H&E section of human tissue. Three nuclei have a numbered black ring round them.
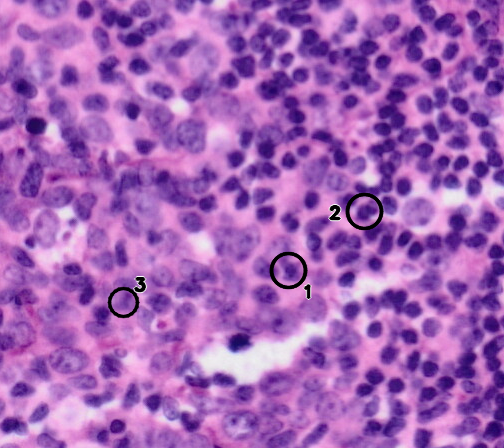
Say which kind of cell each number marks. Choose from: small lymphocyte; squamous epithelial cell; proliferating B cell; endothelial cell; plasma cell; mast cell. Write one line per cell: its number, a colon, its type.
1: proliferating B cell
2: small lymphocyte
3: proliferating B cell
